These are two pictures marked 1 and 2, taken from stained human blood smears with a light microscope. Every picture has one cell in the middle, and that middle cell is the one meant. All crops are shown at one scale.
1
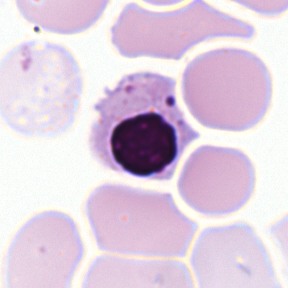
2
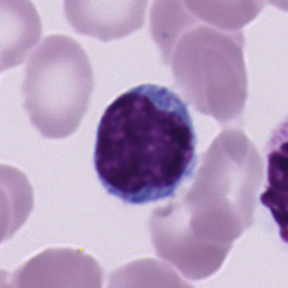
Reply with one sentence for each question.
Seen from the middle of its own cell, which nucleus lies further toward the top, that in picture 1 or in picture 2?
In picture 2 the nucleus is shifted more toward the top.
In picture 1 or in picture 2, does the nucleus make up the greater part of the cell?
It is the cell in picture 2 that is filled more by its nucleus.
